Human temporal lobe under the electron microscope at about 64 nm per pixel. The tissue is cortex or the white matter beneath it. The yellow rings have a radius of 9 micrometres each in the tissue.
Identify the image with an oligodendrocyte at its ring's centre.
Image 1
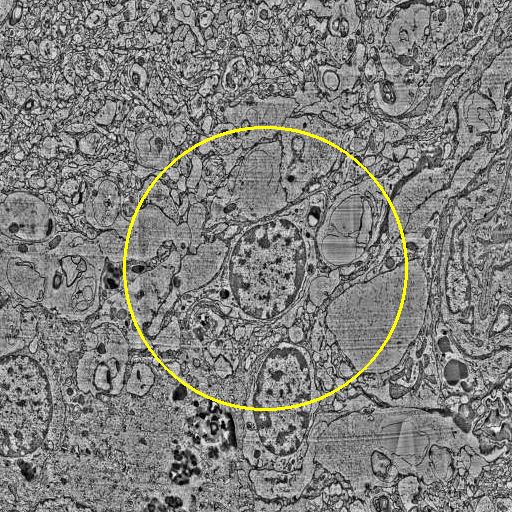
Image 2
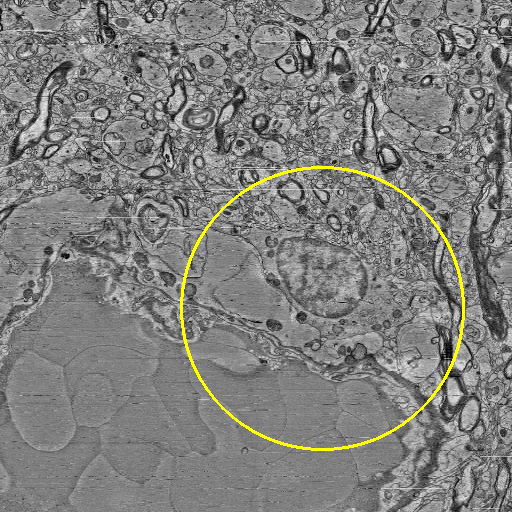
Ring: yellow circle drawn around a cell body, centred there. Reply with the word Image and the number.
Image 2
